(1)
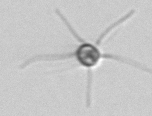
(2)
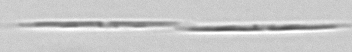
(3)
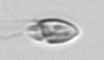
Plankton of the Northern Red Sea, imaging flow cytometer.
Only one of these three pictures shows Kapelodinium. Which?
Picture 3.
